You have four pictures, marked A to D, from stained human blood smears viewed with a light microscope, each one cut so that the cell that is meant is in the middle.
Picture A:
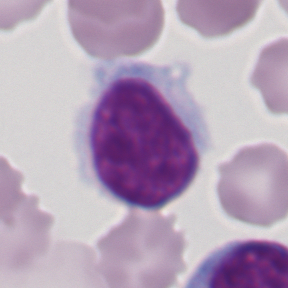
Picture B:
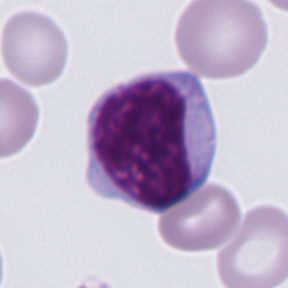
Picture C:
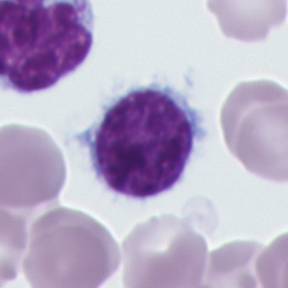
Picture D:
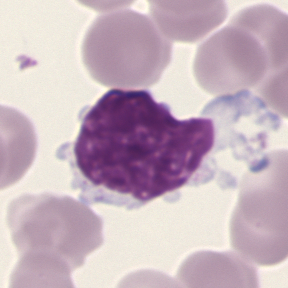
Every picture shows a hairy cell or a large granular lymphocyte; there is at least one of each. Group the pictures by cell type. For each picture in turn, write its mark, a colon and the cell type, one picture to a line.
A: hairy cell
B: large granular lymphocyte
C: hairy cell
D: large granular lymphocyte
